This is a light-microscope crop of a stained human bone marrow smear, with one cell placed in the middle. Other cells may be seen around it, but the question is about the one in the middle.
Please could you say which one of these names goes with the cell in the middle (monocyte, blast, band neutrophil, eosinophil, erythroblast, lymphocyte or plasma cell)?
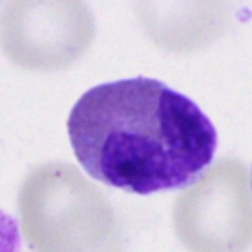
eosinophil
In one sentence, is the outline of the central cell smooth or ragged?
You can see a smooth boundary, with no projections sticking out.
